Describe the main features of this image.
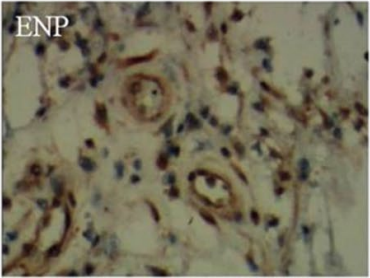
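This is loose connective tissue stroma with small blood vessels and scattered fibroblasts. Several round vessels have brown-stained endothelial cells lining their lumina, and many of the scattered spindle-shaped and oval stromal cells also carry dark brown staining, set among blue-counterstained nuclei in a pale, loose matrix.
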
